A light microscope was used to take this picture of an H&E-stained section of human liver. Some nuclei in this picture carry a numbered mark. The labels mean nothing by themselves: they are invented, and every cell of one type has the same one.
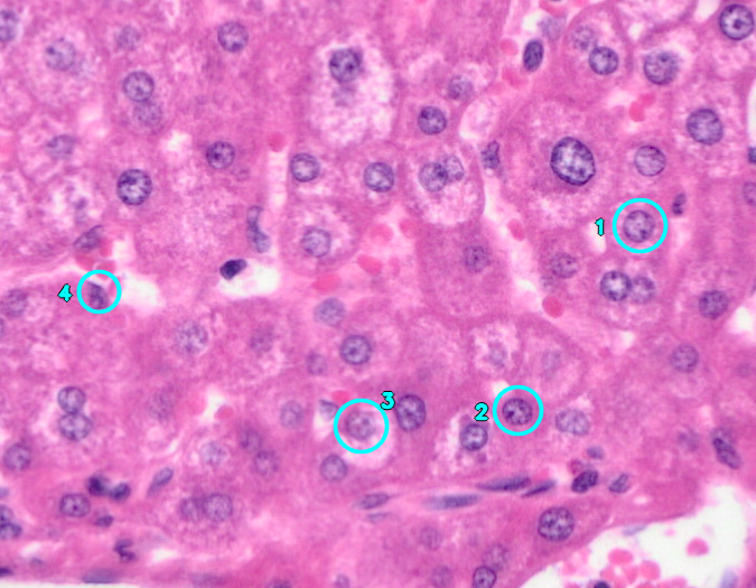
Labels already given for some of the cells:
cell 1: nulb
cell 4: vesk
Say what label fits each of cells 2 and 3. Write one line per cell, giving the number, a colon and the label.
2: nulb
3: nulb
